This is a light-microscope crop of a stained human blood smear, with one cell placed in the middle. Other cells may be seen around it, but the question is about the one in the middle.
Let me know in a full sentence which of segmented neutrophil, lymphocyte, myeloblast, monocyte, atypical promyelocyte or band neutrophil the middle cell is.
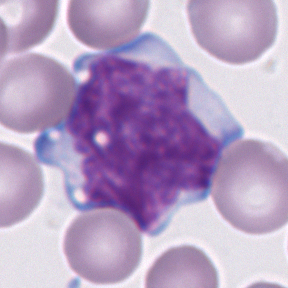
The central cell in this smear crop is a myeloblast.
